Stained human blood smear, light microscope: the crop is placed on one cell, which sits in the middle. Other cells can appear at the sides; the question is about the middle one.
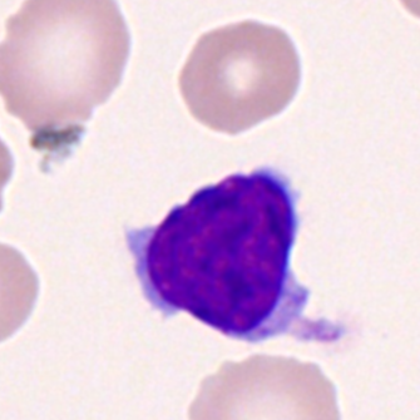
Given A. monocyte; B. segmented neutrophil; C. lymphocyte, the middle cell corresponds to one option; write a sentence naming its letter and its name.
The cell at the heart of the crop is a lymphocyte, so choose option C.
